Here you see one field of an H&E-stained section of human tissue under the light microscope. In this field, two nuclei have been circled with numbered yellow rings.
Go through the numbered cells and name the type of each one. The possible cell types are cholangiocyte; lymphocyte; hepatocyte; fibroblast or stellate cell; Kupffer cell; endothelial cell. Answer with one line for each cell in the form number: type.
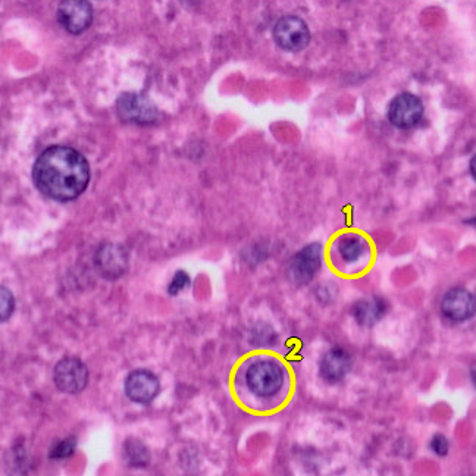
1: lymphocyte
2: hepatocyte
